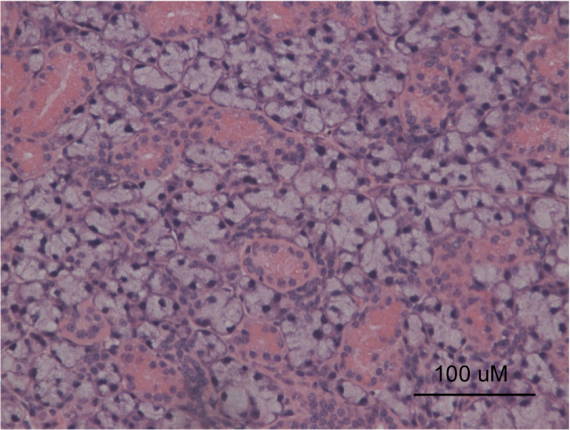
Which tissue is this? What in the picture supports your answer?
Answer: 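Submandibular salivary glands. Densely packed glandular units of cells with pale, foamy cytoplasm and small dark nuclei. Scattered tubular profiles lined by cells with pink cytoplasm around small lumens. Thin connective tissue septa divide the glandular units.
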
